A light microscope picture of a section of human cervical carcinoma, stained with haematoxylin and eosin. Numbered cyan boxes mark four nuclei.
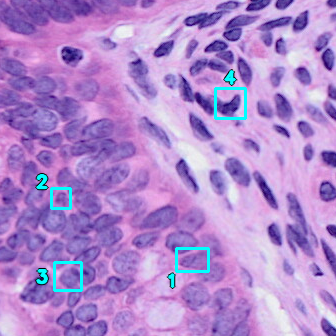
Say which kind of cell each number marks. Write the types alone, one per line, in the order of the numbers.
secretory epithelial cell
secretory epithelial cell
secretory epithelial cell
fibroblast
